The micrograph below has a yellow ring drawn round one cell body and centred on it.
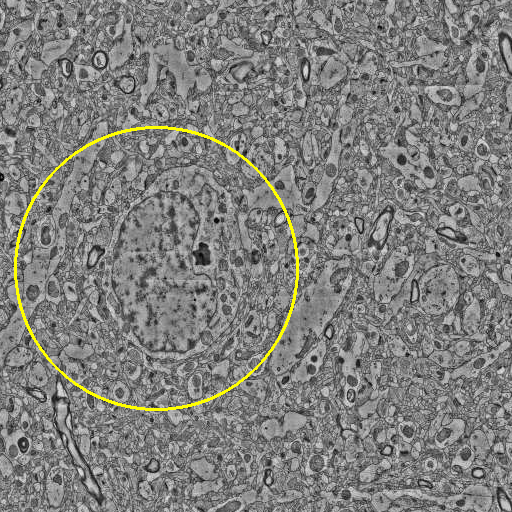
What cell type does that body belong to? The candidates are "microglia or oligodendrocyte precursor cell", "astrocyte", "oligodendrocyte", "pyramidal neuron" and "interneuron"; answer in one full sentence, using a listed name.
This is an interneuron, the cell whose body lies at the centre of the ring.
